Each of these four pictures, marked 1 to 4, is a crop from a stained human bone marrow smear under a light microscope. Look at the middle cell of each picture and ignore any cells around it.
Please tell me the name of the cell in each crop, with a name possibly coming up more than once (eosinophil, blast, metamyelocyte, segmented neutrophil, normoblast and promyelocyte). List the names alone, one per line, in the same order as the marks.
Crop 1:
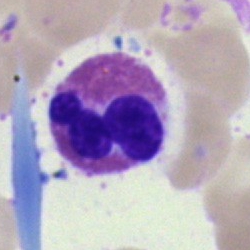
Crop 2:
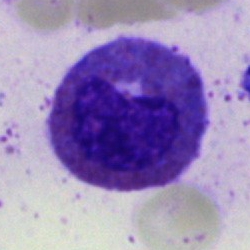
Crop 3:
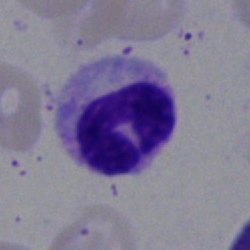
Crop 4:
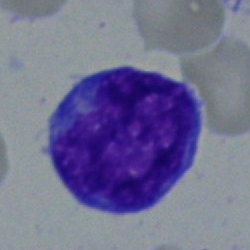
eosinophil
eosinophil
segmented neutrophil
blast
